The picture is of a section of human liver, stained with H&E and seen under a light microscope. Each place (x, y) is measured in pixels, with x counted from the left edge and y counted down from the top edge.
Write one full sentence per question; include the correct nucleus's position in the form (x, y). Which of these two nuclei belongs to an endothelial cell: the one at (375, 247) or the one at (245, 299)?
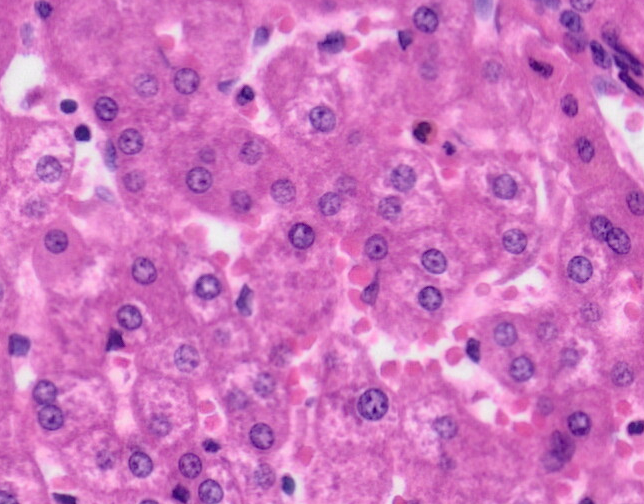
Of the two, the nucleus lying at (245, 299) is the one belonging to an endothelial cell.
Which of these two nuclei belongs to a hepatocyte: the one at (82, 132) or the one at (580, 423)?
Rather than the other nucleus, the one at (580, 423) belongs to a hepatocyte.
